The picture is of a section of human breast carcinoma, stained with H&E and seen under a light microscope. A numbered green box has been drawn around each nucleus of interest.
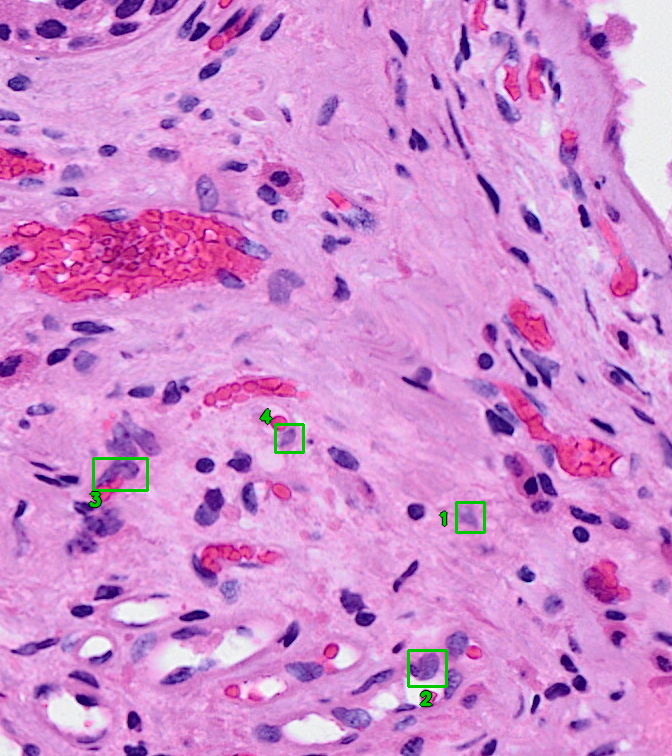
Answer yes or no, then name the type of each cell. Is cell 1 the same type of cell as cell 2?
No, cell 2 is an endothelial cell, while cell 1 is a fibroblast.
